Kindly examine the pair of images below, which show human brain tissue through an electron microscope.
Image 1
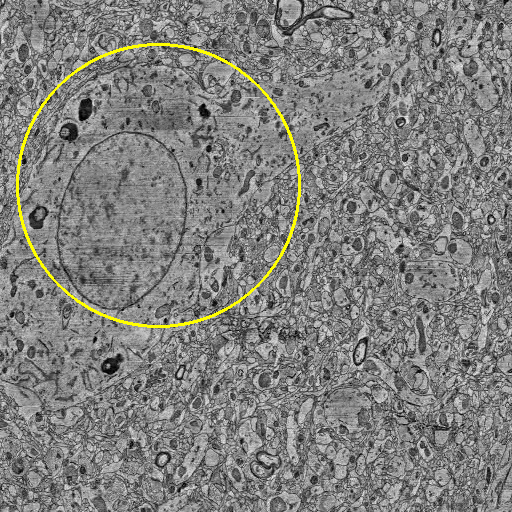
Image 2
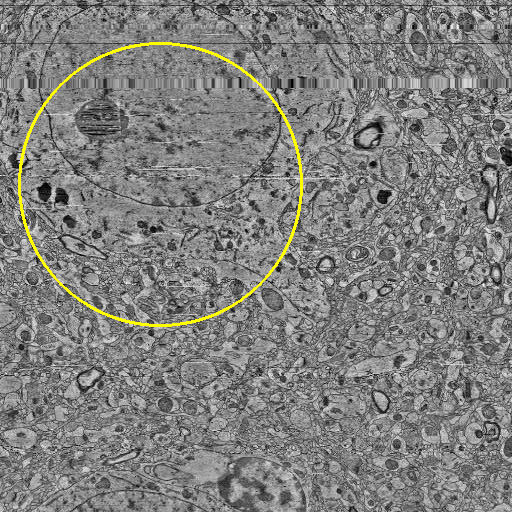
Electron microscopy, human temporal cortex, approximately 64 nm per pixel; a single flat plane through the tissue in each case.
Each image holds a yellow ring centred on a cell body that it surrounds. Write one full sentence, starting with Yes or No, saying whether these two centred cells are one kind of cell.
Yes, both cells at the centres of the yellow rings belong to one kind of cell.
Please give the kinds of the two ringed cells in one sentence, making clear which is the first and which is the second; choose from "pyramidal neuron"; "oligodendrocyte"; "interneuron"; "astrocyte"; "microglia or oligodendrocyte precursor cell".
Each of the two rings surrounds a pyramidal neuron.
